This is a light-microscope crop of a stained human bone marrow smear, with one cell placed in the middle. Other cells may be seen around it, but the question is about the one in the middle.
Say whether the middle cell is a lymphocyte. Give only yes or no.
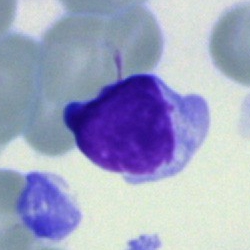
yes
